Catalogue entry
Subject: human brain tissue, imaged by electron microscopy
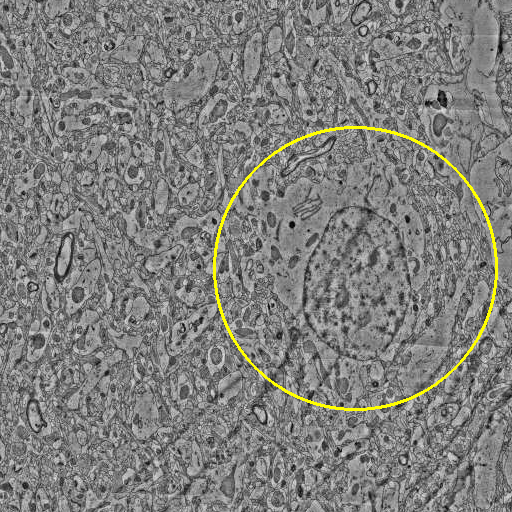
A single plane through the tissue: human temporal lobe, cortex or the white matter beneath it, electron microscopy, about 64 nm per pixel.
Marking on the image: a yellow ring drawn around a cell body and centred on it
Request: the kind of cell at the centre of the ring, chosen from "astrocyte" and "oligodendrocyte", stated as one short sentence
The ring has an astrocyte at its centre.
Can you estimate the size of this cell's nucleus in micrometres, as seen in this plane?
About 10 by 7 micrometers, in this plane.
